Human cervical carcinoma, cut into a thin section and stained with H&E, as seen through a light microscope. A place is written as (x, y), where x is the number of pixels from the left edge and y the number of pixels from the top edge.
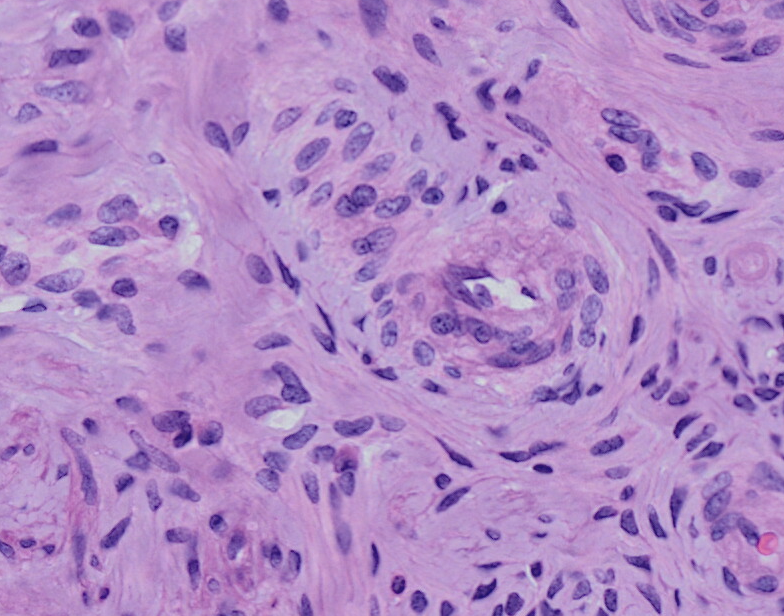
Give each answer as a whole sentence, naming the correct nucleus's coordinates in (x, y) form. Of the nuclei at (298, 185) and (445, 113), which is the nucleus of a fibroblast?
Of the two, the nucleus at (445, 113) is the one contained in a fibroblast.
